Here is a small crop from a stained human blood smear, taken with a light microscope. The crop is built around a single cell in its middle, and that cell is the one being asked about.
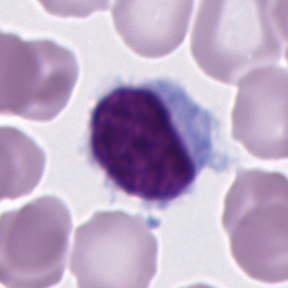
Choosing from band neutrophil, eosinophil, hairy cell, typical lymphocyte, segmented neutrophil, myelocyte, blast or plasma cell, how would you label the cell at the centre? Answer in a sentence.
Seen at the centre of the crop is a hairy cell.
